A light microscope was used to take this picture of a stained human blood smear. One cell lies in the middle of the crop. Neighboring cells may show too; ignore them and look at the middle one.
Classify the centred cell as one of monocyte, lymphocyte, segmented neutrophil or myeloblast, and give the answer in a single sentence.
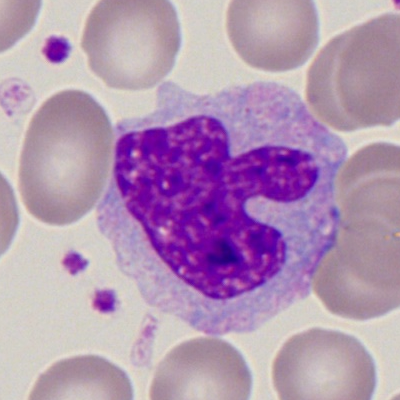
The middle position in this crop is taken by a monocyte.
